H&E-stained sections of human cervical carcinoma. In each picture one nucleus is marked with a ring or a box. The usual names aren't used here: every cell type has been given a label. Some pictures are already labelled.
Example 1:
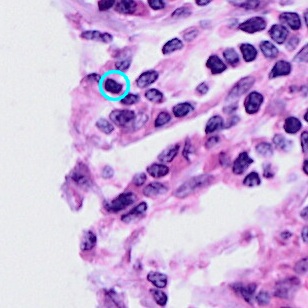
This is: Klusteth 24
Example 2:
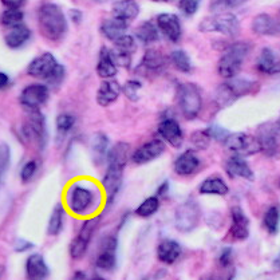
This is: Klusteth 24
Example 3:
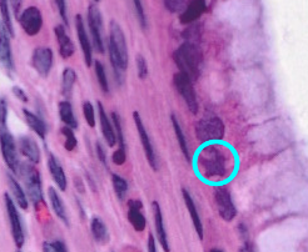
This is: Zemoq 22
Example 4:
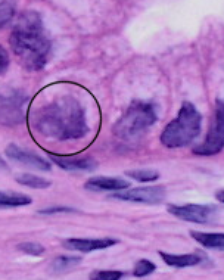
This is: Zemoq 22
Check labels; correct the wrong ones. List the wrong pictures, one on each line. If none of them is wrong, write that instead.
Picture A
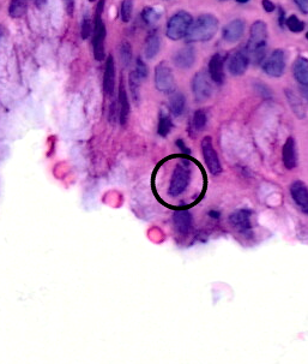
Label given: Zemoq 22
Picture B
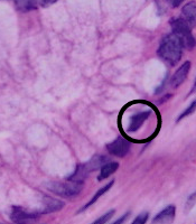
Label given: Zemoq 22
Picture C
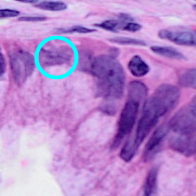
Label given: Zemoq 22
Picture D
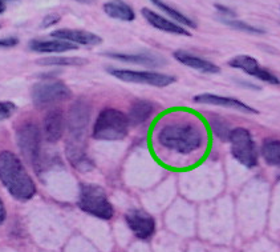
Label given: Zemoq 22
Every label is right.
